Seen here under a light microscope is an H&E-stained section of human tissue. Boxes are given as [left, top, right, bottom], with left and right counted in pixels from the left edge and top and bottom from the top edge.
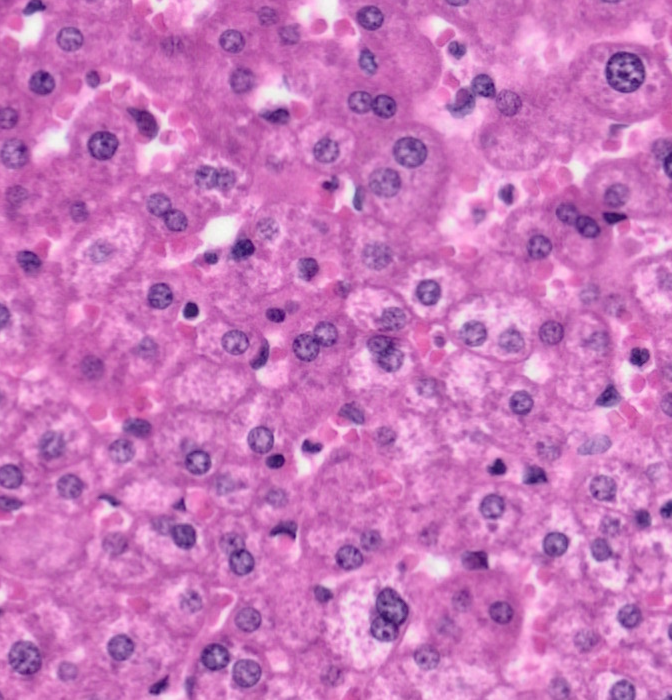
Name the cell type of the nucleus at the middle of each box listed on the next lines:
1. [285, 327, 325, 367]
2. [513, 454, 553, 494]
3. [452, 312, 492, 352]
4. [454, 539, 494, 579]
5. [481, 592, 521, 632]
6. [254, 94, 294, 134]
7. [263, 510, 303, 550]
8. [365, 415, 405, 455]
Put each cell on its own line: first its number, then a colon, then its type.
1: hepatocyte
2: endothelial cell
3: hepatocyte
4: endothelial cell
5: hepatocyte
6: Kupffer cell
7: endothelial cell
8: hepatocyte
